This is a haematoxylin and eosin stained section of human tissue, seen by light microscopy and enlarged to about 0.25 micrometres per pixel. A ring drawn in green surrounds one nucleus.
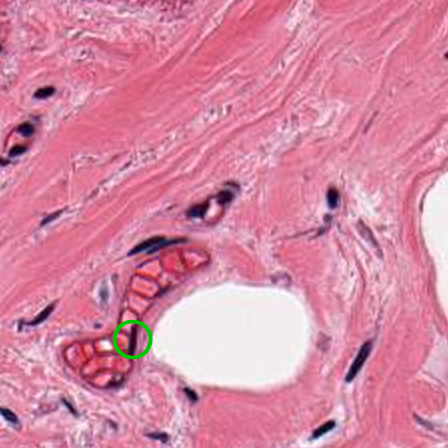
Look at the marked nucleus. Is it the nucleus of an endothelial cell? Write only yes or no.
yes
